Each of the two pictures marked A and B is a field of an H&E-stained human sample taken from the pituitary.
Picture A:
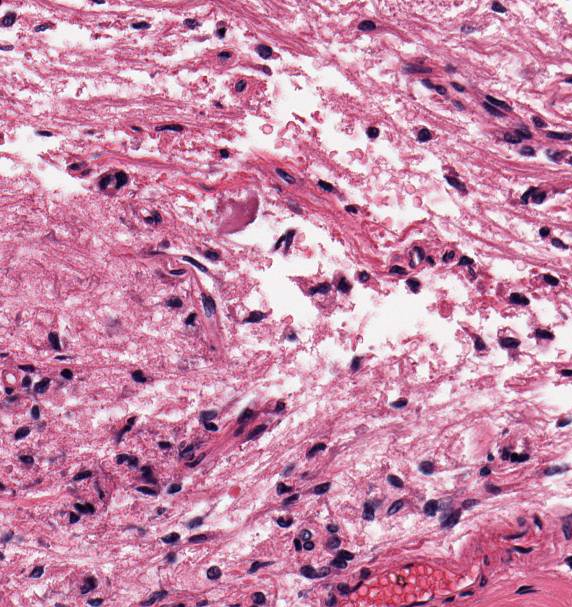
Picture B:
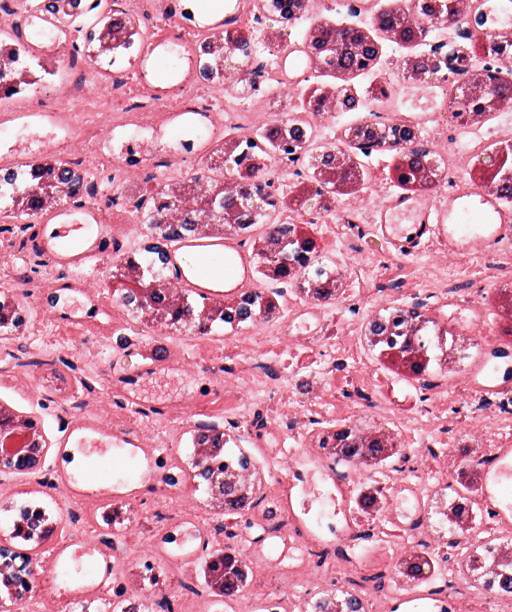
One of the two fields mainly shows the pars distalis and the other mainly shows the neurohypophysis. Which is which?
A: neurohypophysis
B: pars distalis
